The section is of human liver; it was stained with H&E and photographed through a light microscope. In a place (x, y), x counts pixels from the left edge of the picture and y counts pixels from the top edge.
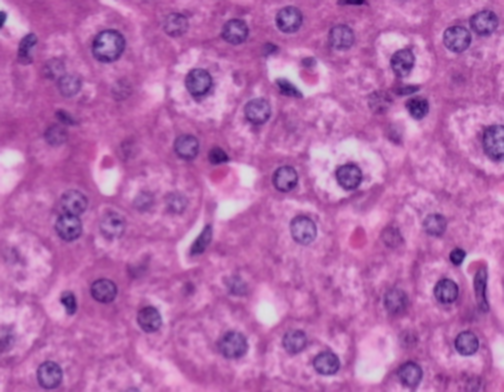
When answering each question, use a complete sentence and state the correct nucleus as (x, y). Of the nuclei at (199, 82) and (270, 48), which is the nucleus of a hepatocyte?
The one nucleus of the two that belongs to a hepatocyte is at (199, 82).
